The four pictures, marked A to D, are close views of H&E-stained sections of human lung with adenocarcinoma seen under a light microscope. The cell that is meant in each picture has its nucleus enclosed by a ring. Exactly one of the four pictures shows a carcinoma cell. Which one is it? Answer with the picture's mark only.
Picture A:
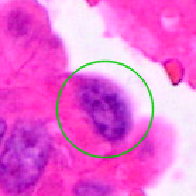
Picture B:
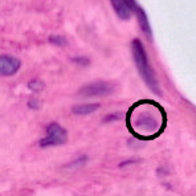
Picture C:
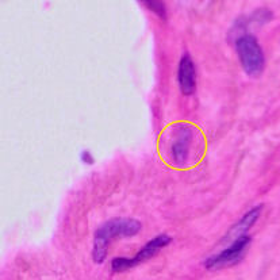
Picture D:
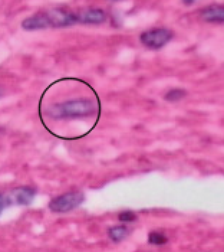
A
